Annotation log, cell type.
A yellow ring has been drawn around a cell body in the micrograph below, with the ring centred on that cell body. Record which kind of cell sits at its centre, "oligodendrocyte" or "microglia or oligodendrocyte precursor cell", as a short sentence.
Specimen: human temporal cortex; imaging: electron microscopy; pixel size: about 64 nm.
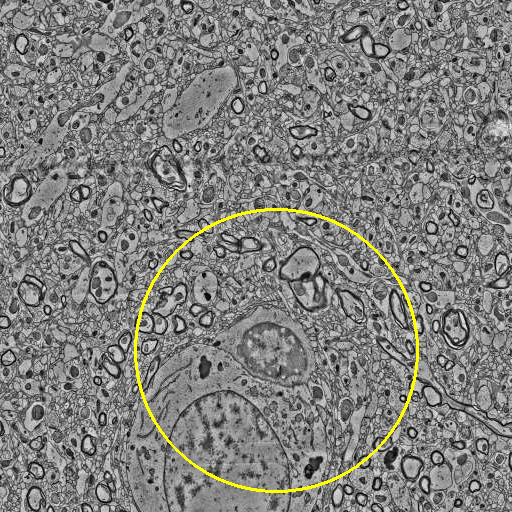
The cell at the centre of this ring is an oligodendrocyte.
